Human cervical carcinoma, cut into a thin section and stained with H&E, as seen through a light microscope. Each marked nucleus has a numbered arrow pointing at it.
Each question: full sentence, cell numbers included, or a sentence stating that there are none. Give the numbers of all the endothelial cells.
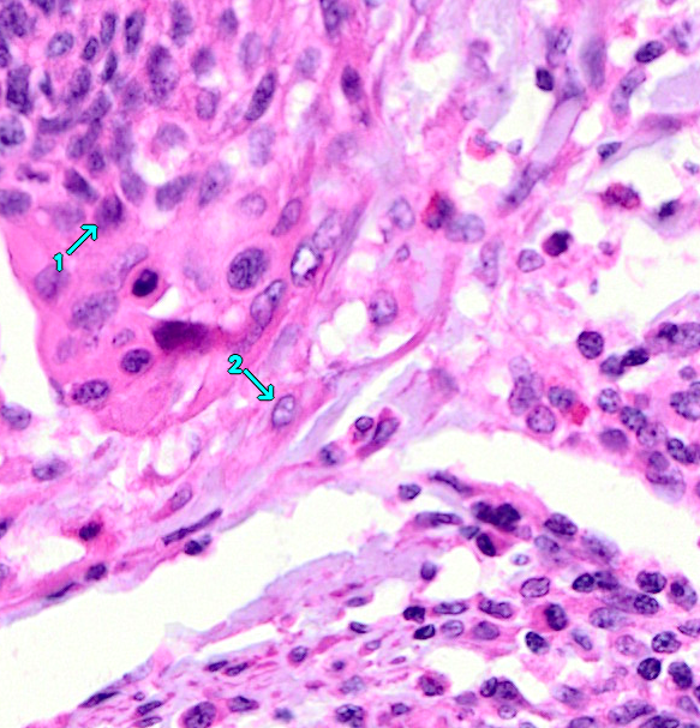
The sole numbered cell that is an endothelial cell is cell 2.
